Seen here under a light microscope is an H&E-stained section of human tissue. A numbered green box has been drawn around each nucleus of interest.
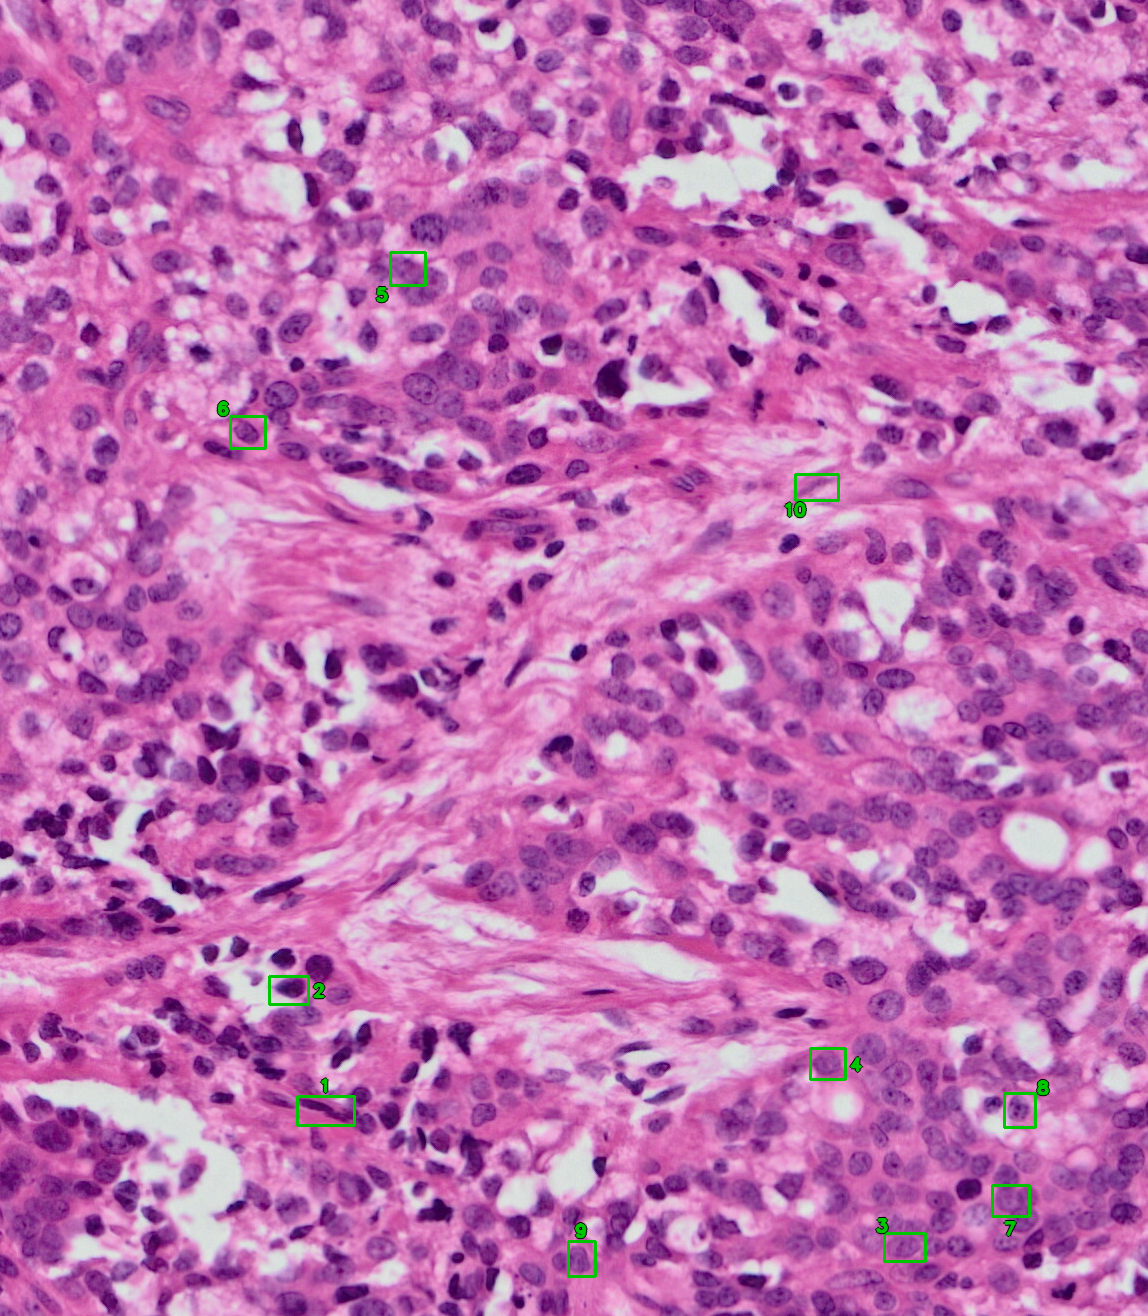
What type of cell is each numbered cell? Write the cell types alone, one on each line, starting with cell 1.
endothelial cell
carcinoma cell
carcinoma cell
carcinoma cell
carcinoma cell
macrophage or monocyte
carcinoma cell
macrophage or monocyte
carcinoma cell
fibroblast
